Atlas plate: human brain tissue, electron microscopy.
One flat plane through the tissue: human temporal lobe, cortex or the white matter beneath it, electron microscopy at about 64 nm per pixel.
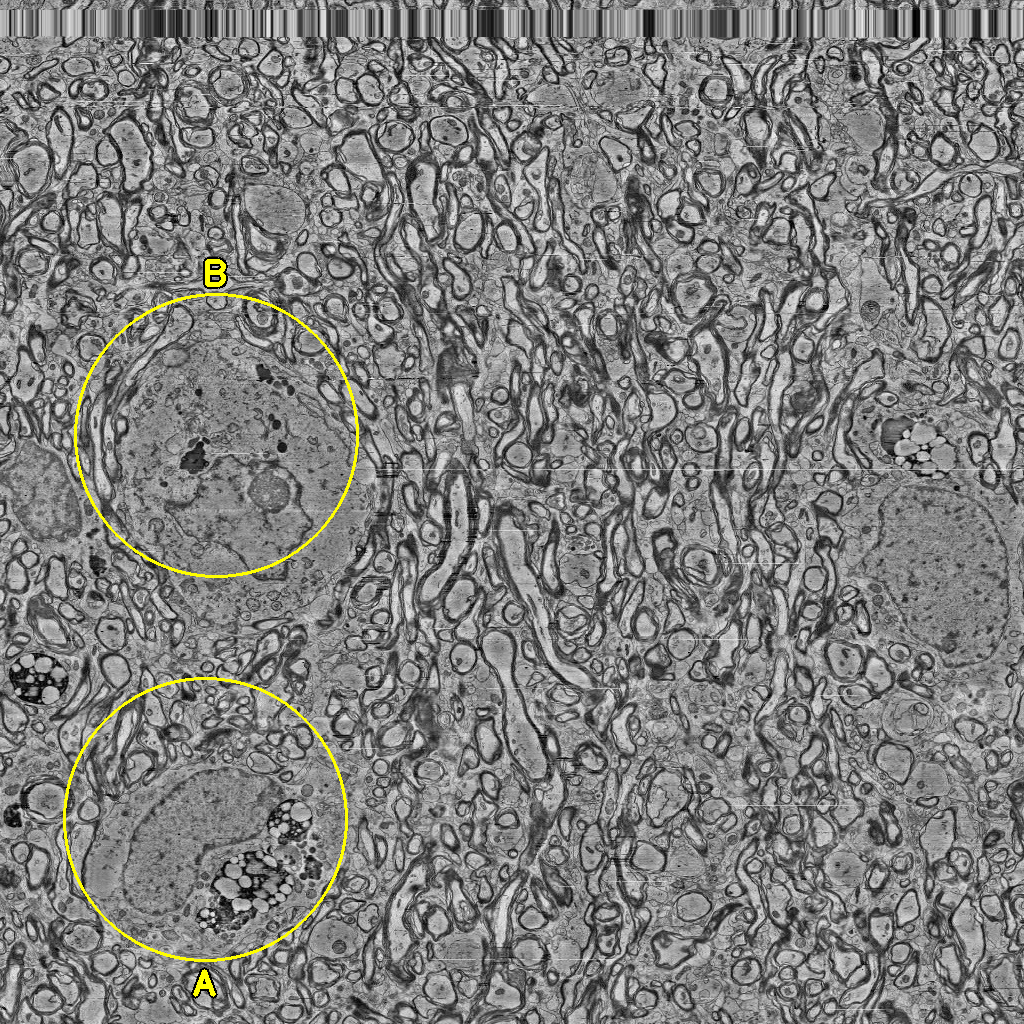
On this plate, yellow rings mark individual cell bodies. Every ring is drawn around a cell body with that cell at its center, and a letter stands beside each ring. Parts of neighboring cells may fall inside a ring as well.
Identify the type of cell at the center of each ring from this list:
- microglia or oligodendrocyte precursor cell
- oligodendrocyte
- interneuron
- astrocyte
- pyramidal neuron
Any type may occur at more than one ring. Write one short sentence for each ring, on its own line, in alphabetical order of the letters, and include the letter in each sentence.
At the center of ring A lies an astrocyte.
At the center of ring B lies a pyramidal neuron.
